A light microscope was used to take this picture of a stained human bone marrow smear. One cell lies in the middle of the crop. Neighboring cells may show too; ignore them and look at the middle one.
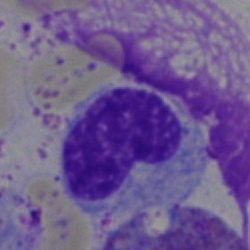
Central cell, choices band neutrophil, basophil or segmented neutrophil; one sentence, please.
The cell at the heart of this crop is a band neutrophil.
